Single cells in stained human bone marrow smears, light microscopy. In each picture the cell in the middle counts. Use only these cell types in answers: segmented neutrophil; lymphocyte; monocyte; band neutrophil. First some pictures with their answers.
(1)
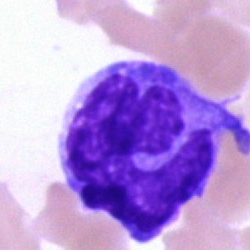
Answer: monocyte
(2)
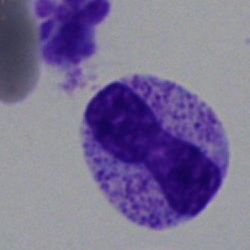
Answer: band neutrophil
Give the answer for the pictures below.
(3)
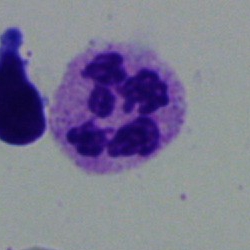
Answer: segmented neutrophil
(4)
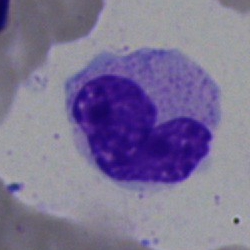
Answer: band neutrophil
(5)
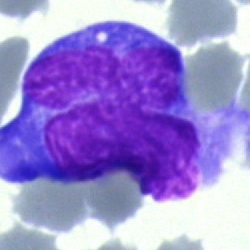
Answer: monocyte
